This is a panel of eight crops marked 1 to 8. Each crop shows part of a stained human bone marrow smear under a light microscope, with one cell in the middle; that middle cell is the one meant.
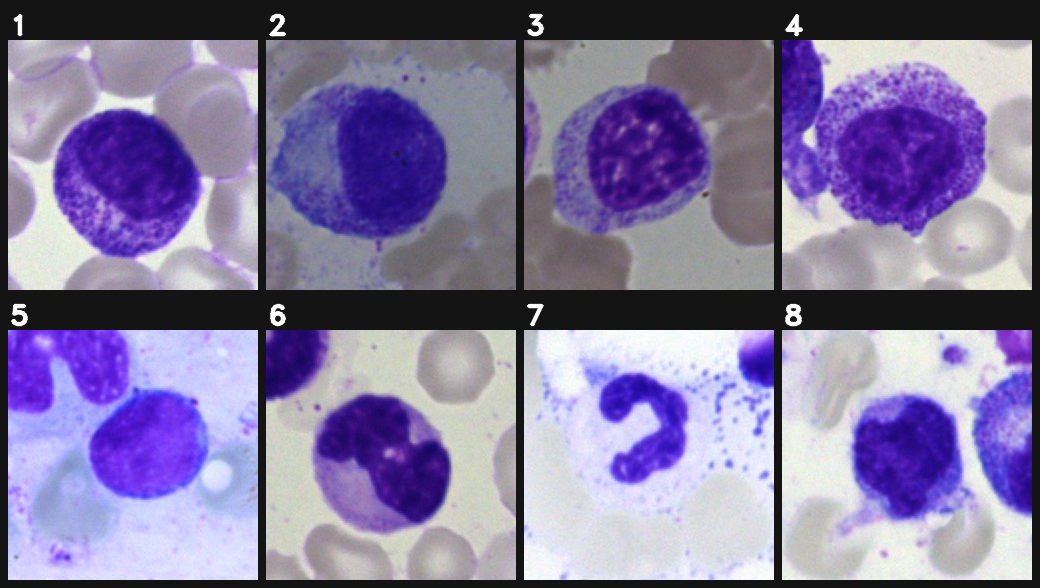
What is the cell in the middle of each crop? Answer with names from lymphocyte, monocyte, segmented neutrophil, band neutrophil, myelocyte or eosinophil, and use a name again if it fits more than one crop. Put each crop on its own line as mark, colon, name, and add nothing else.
1: myelocyte
2: myelocyte
3: myelocyte
4: myelocyte
5: lymphocyte
6: band neutrophil
7: segmented neutrophil
8: monocyte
